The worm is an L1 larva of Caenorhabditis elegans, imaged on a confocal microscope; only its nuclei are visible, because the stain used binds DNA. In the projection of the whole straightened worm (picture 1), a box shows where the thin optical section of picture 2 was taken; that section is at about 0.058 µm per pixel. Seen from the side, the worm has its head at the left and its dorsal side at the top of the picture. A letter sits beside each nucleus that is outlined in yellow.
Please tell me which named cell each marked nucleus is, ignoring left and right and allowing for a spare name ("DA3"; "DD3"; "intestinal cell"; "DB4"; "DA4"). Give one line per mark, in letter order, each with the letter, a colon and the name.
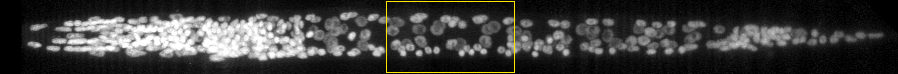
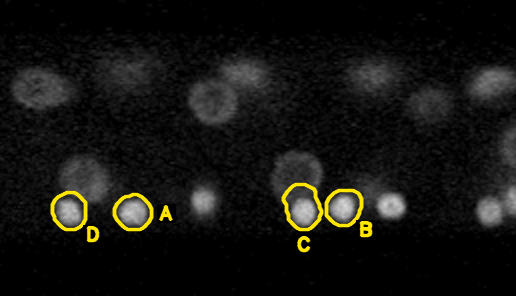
A: DB4
B: DD3
C: DA4
D: DA3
